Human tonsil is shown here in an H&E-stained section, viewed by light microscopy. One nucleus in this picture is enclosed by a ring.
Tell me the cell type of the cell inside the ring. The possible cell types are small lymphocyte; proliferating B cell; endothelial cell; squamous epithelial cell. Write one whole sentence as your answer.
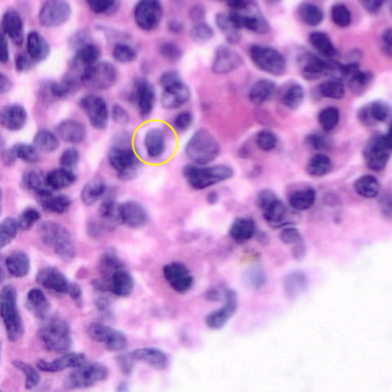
The cell inside the ring is a proliferating B cell.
